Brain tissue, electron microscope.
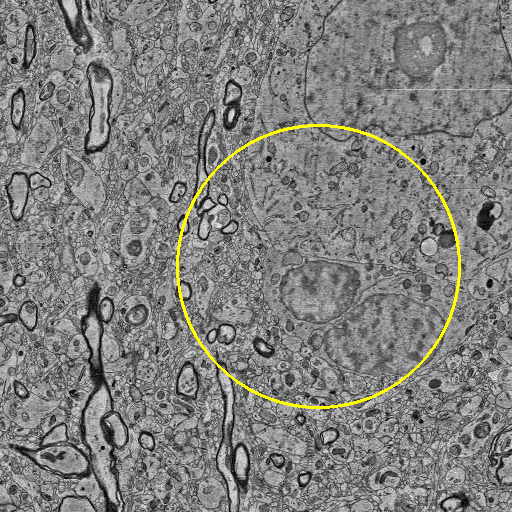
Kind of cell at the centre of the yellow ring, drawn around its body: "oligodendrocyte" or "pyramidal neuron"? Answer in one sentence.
The ring's centre falls on an oligodendrocyte.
